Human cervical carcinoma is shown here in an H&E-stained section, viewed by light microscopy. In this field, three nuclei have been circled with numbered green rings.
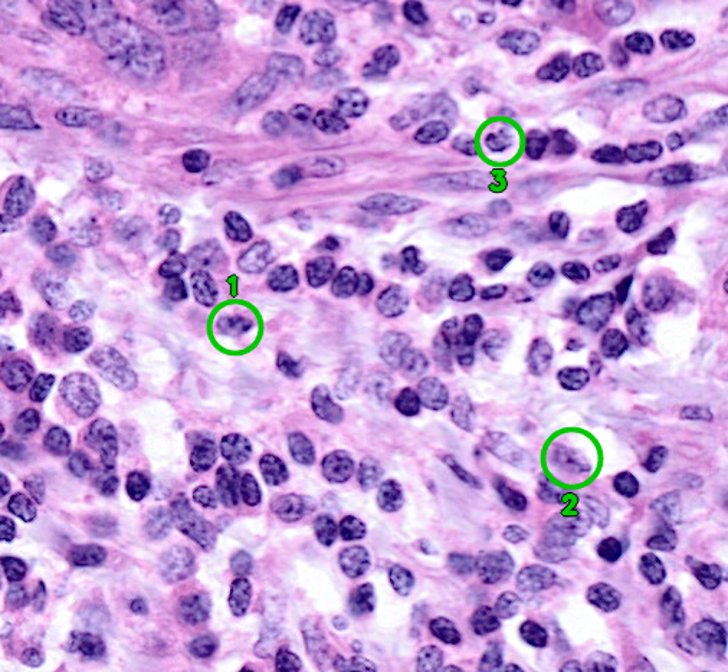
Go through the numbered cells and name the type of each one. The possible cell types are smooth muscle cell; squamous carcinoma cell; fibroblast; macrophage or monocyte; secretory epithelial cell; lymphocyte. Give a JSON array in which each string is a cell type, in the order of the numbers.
["lymphocyte", "macrophage or monocyte", "lymphocyte"]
